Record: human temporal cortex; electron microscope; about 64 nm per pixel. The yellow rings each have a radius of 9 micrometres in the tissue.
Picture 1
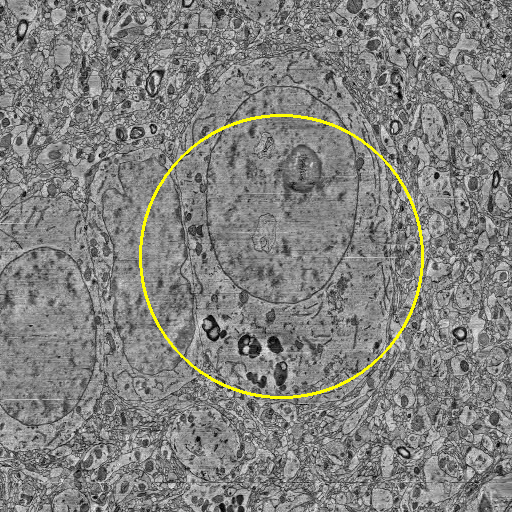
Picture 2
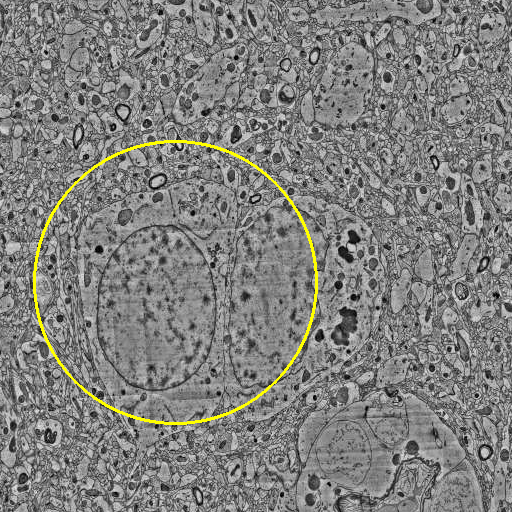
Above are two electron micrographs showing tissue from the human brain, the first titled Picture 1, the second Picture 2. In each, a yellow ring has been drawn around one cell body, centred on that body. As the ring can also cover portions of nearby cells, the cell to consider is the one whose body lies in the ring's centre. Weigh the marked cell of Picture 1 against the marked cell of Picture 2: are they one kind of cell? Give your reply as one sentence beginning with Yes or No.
Yes, the two cells sitting at the ring centres in the pictures are of one kind.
